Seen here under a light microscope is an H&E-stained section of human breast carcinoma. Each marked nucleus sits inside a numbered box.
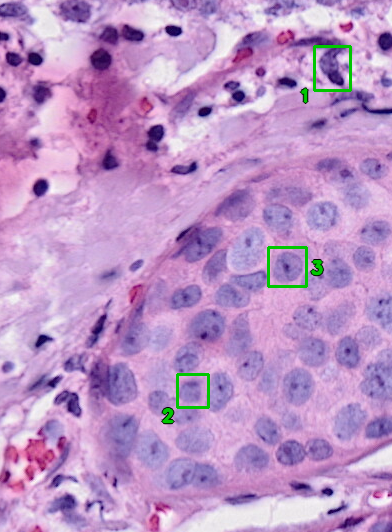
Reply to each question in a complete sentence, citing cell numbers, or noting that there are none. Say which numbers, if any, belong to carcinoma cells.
The cells that bear the numbers 2 and 3 are carcinoma cells.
